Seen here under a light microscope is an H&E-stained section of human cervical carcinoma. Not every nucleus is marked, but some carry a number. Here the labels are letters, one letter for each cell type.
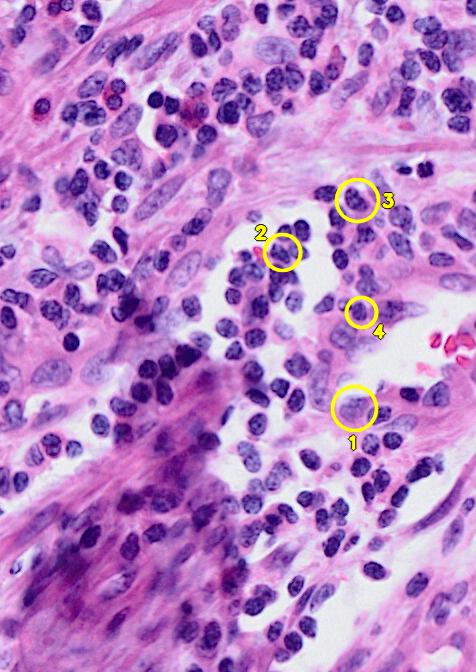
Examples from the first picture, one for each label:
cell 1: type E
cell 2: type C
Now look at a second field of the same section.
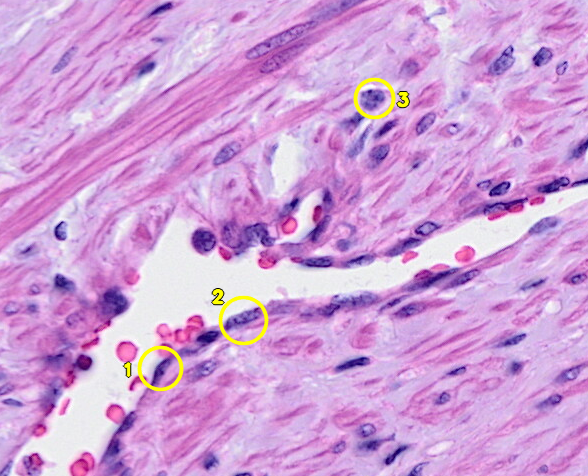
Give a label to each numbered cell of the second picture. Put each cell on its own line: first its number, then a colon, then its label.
1: type E
2: type E
3: type C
